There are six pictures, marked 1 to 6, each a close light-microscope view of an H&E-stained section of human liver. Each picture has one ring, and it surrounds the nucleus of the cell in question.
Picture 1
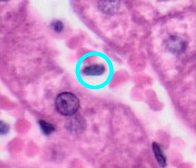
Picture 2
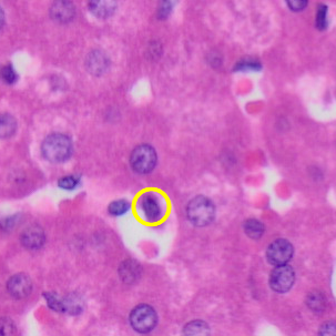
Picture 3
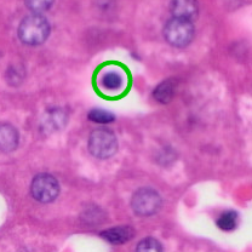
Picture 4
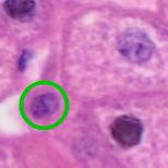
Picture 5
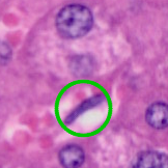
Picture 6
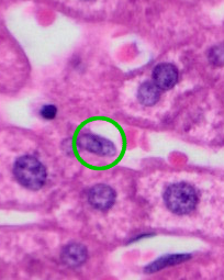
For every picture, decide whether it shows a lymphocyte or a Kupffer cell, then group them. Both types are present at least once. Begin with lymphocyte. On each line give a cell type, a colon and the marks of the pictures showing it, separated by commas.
lymphocyte: 1, 3
Kupffer cell: 2, 4, 5, 6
